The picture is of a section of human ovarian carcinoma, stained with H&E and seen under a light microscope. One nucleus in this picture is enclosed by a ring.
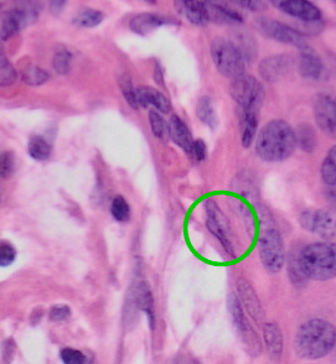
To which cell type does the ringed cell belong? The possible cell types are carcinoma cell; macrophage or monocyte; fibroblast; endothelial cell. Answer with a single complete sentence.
In terms of identity, the ringed cell is an endothelial cell.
